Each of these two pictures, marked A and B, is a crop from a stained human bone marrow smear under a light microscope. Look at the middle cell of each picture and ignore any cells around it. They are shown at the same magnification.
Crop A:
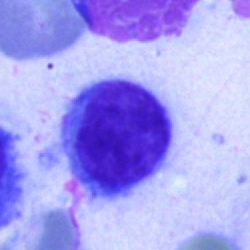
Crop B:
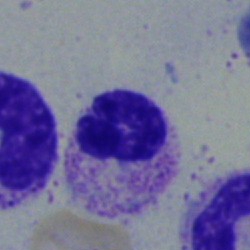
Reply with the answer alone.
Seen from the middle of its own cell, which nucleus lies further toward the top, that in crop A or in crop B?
B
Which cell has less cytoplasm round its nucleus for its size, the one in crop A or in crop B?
A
